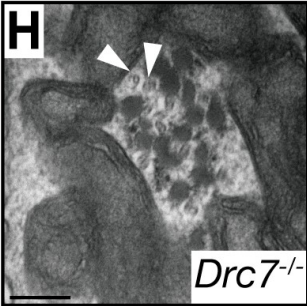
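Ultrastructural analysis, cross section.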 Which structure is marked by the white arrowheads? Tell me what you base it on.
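Small round profiles scattered among dense fiber-like profiles. No ordered ring of doublets is visible.
Answer: microtubule-like structures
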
